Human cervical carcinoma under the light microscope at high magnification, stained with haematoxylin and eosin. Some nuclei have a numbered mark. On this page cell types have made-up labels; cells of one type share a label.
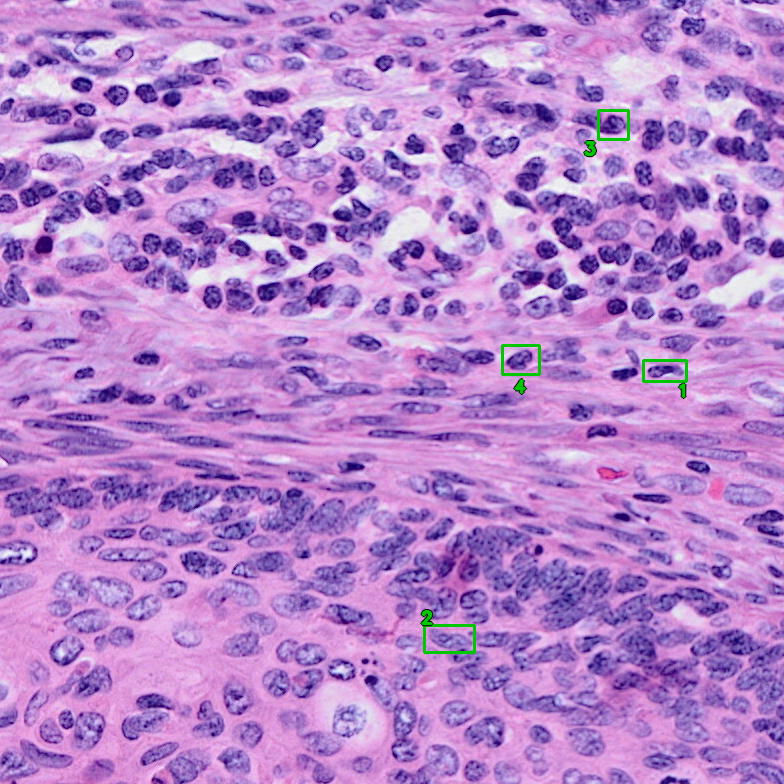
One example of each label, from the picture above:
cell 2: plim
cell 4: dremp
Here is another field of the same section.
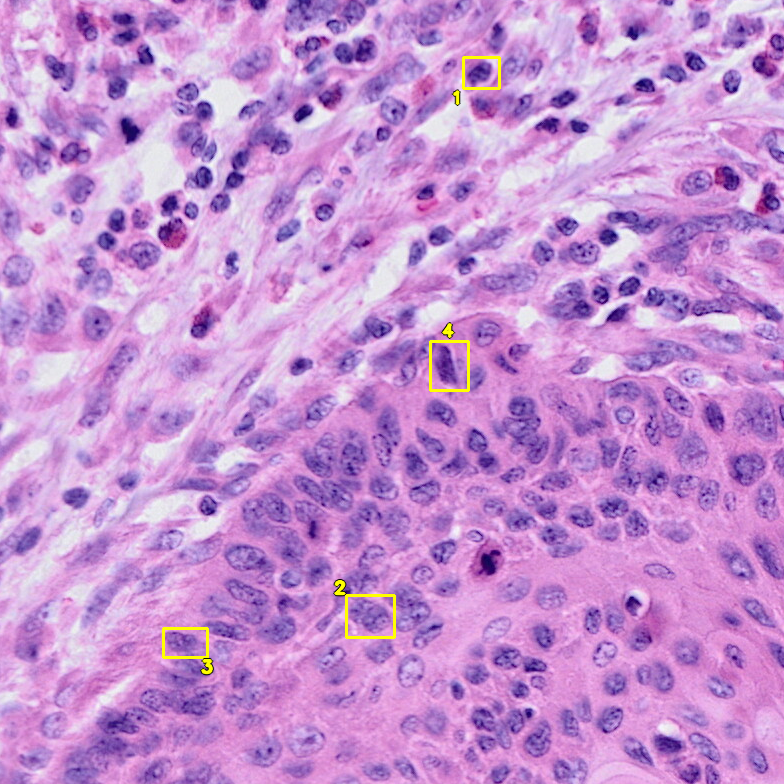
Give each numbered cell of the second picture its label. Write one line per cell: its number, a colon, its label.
1: dremp
2: plim
3: plim
4: plim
